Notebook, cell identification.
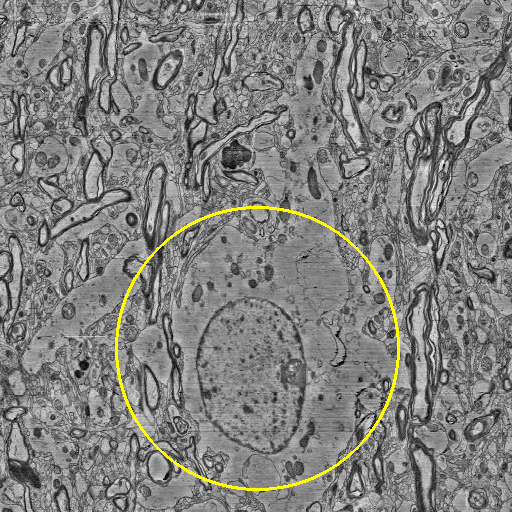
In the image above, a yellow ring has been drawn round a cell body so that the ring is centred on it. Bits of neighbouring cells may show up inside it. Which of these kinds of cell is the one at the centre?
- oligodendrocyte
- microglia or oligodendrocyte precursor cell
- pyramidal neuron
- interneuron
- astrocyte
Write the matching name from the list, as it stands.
astrocyte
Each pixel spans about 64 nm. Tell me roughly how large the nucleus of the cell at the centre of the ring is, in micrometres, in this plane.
About 10 by 7 micrometres; in this plane the nucleus is clearly longer than it is wide.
